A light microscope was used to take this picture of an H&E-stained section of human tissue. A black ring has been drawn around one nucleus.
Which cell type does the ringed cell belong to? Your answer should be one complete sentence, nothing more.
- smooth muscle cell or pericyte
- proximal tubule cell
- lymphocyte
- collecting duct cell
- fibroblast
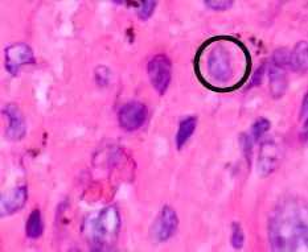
Recorded by type, the ringed cell is a fibroblast.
